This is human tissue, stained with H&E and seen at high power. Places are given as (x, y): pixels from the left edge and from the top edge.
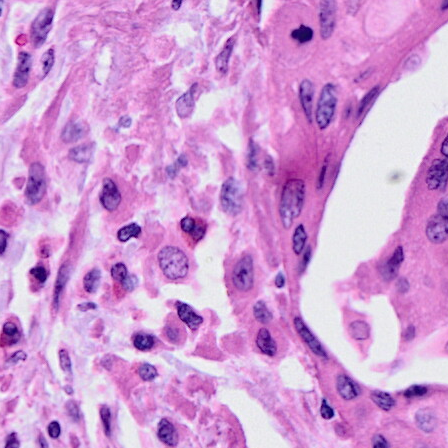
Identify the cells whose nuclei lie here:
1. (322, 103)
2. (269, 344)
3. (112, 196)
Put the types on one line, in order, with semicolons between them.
squamous carcinoma cell; macrophage or monocyte; macrophage or monocyte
